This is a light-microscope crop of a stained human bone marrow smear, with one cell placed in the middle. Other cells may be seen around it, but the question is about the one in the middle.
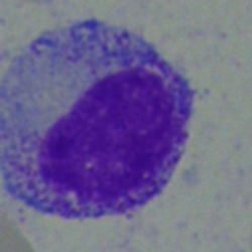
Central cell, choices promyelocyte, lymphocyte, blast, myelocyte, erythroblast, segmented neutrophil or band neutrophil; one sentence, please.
At the center of the crop sits a myelocyte.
